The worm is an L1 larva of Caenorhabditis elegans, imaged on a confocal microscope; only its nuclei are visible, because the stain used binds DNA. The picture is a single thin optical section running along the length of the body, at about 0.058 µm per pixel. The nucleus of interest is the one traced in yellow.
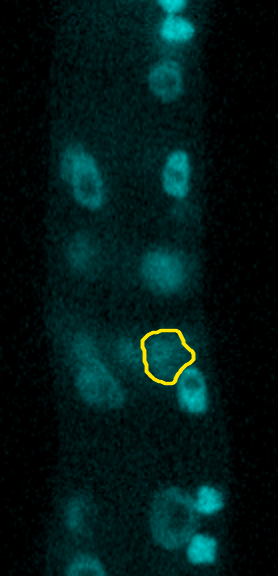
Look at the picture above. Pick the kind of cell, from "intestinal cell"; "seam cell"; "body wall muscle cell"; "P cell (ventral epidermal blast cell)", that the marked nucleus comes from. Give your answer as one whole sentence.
What is marked is the nucleus of a seam cell.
